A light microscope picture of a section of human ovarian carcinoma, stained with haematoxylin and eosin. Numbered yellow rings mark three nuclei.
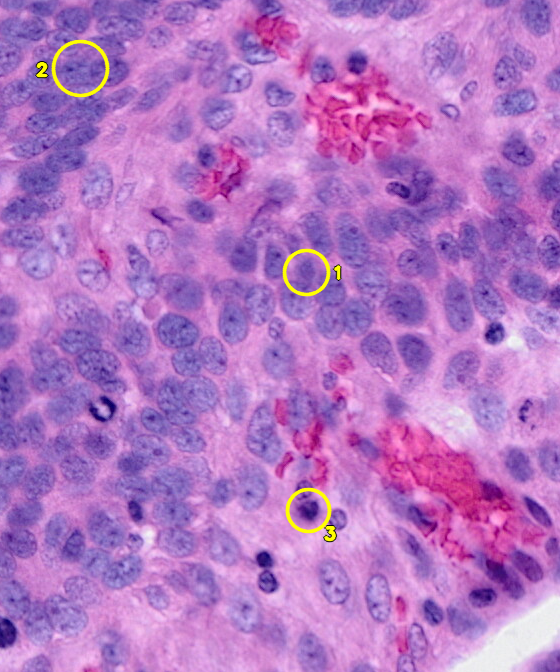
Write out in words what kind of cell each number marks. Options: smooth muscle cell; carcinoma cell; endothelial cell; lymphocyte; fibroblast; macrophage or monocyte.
Cells 1 and 2 are carcinoma cells. Cell 3 is a lymphocyte.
